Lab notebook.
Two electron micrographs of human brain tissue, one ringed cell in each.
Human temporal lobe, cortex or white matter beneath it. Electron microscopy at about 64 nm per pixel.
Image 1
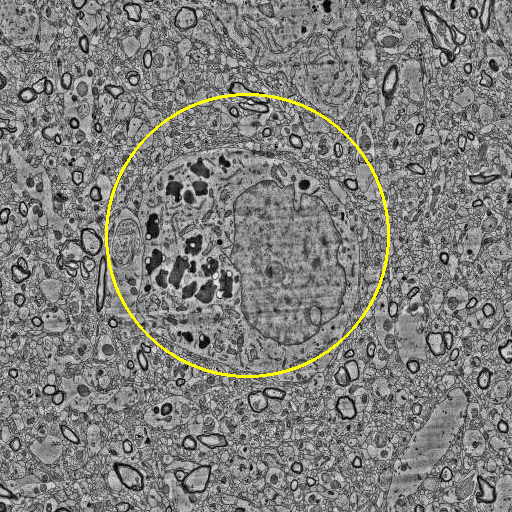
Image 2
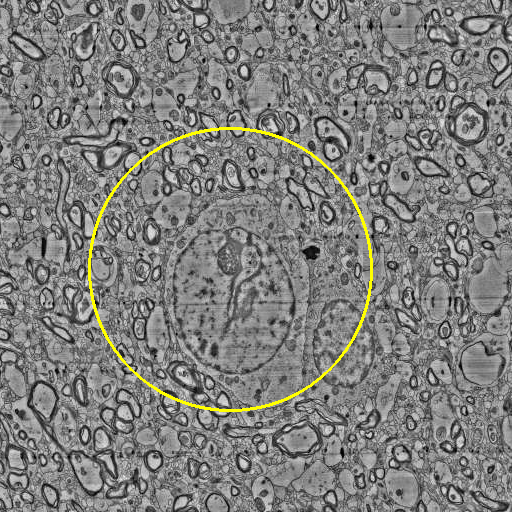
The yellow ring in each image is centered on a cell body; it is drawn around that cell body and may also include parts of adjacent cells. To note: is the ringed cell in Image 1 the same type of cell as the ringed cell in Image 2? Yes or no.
yes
